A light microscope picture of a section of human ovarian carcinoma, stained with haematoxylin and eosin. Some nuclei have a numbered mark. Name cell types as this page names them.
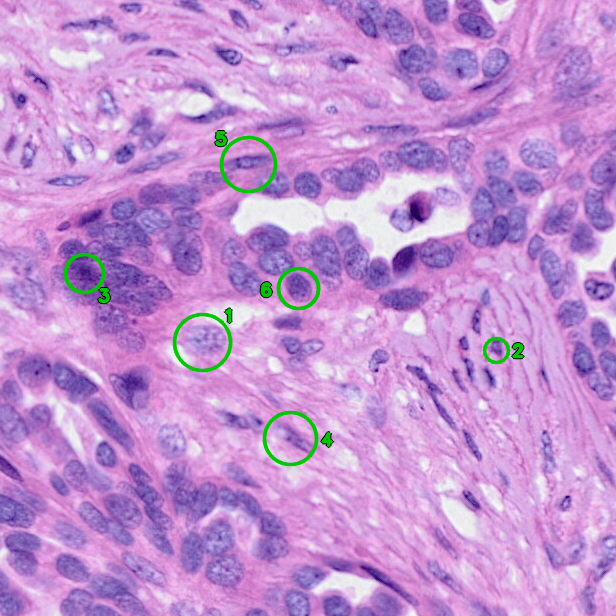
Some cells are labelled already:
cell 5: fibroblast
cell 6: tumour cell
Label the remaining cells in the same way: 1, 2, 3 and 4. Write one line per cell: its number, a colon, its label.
1: fibroblast
2: fibroblast
3: tumour cell
4: fibroblast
